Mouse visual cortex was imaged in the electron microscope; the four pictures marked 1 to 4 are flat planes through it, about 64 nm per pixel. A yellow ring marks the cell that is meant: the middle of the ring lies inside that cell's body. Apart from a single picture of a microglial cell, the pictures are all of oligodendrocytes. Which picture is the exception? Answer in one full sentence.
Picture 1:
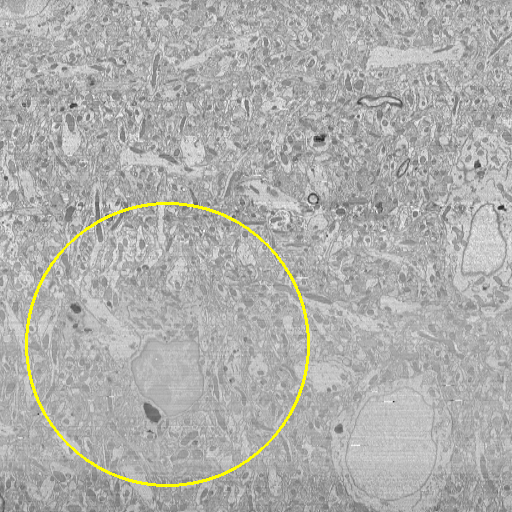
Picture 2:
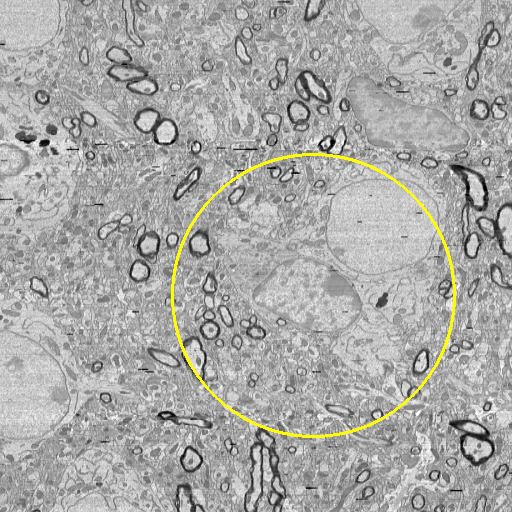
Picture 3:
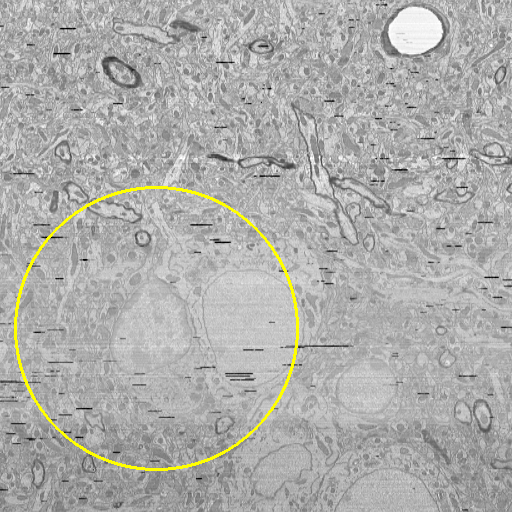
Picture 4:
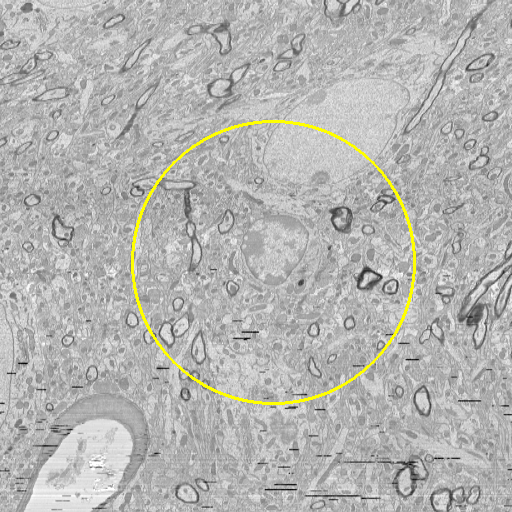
Picture 1 is the one that shows the microglial cell.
